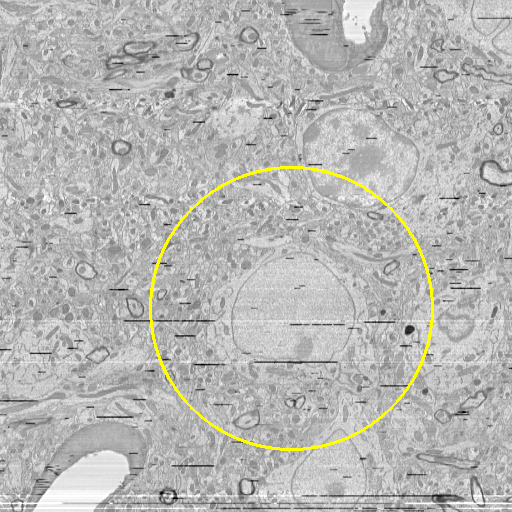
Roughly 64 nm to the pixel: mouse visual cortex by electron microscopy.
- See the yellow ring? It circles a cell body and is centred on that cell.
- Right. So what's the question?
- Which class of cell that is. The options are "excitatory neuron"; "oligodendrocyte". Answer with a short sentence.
The centre of the ring holds an excitatory neuron.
